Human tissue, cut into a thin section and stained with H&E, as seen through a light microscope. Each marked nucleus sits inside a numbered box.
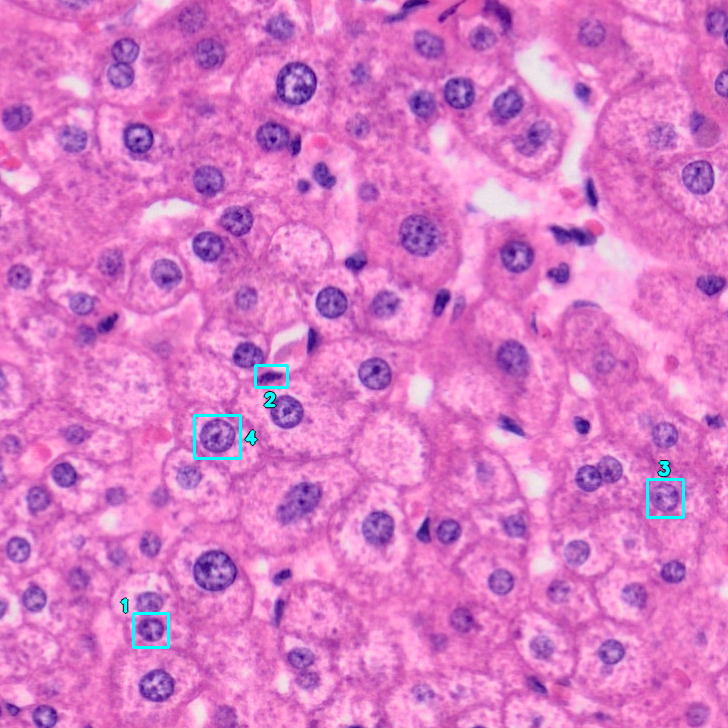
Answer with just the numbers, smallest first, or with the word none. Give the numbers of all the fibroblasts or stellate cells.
2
